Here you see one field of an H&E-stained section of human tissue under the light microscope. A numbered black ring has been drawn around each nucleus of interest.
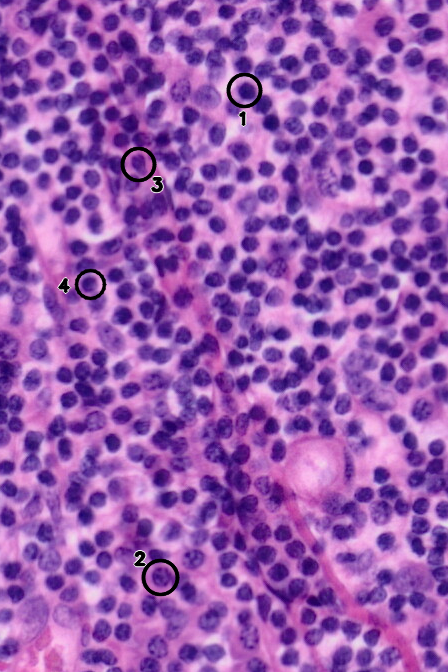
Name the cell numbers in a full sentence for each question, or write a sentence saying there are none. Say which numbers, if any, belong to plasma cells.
Only the cell carrying number 2 is a plasma cell.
